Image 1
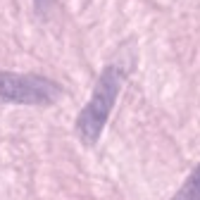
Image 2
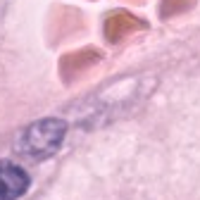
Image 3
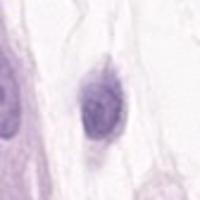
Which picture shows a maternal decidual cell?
Picture 3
